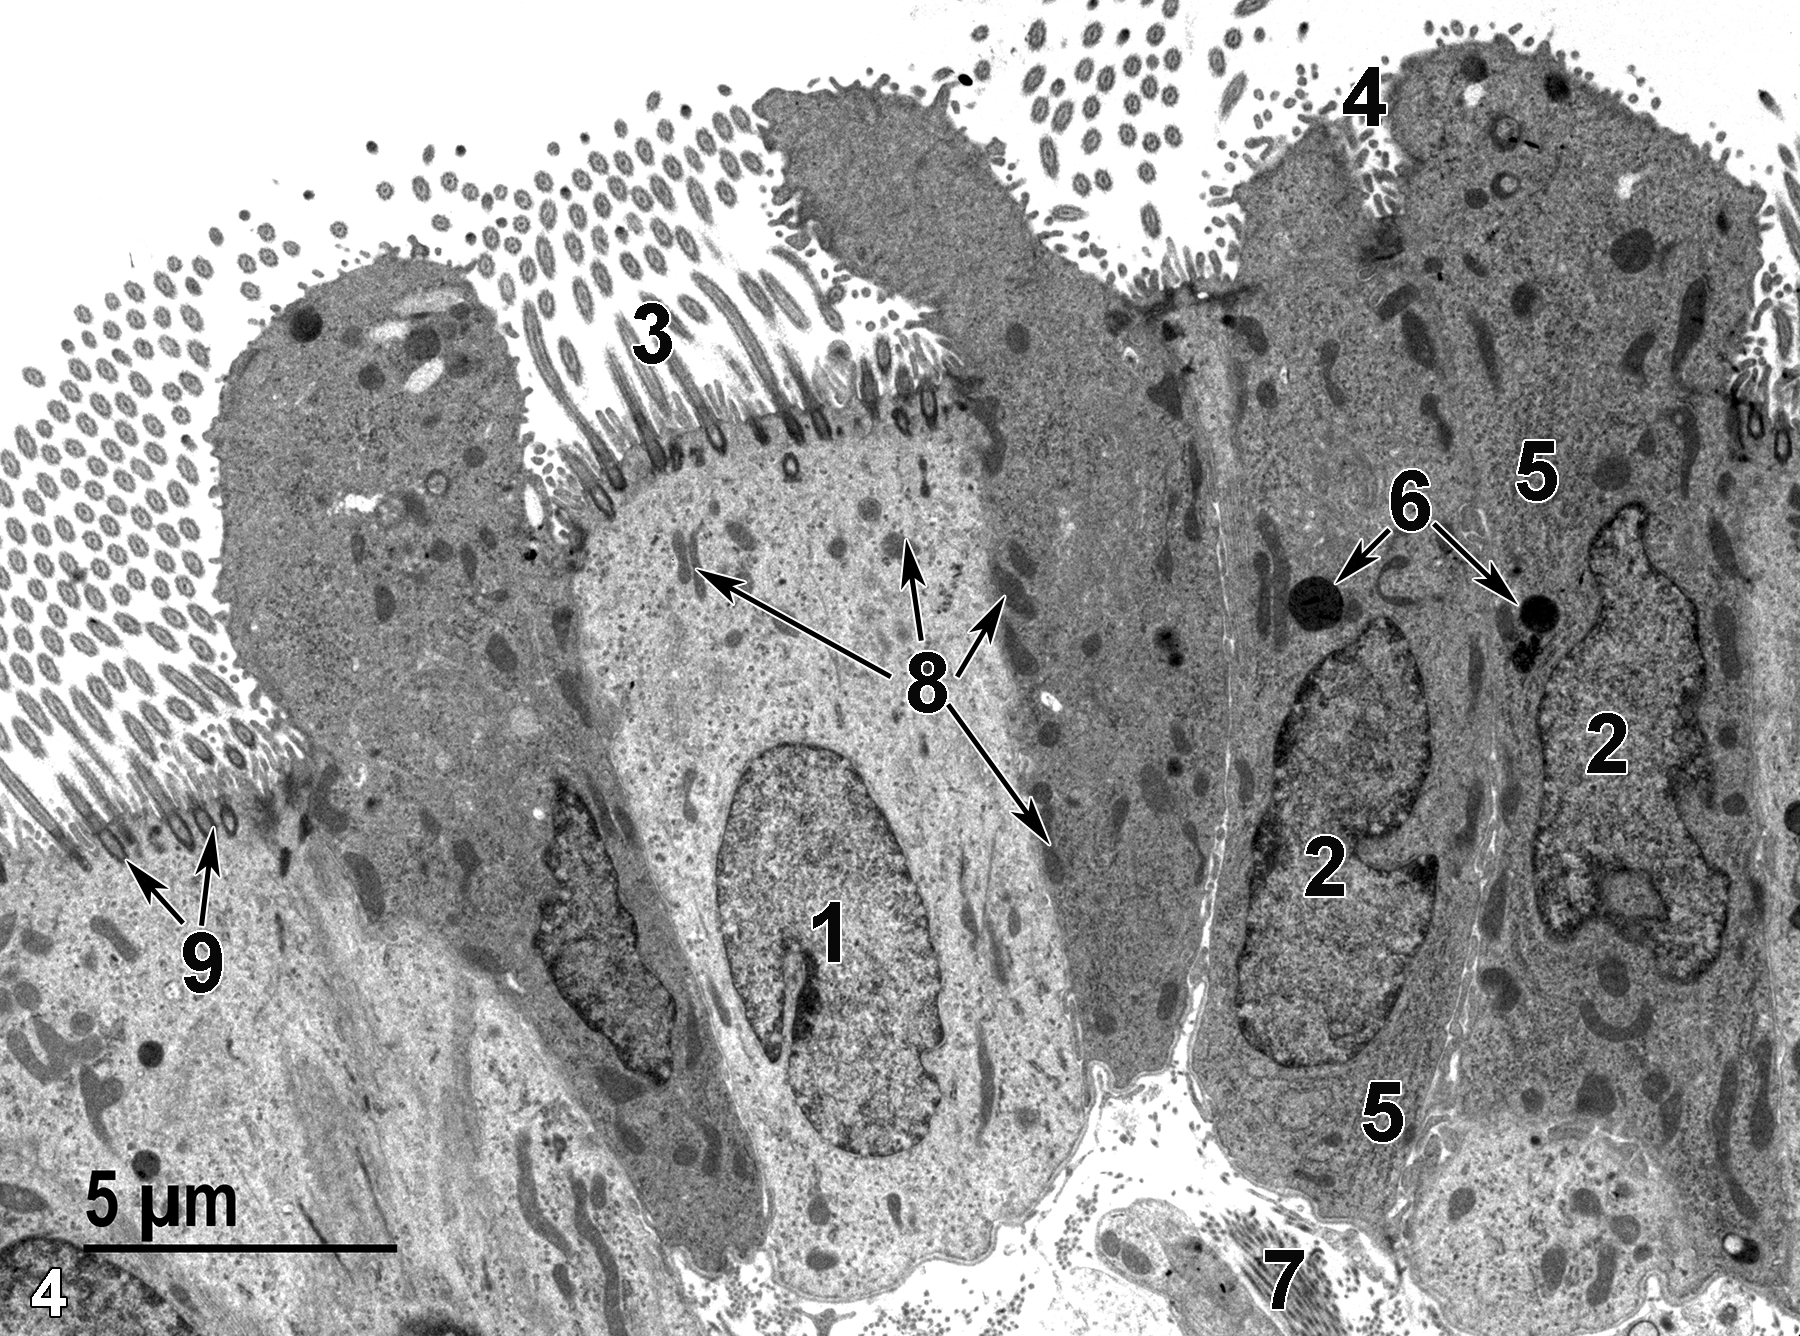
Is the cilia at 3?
Yes, 3 marks the cilia.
